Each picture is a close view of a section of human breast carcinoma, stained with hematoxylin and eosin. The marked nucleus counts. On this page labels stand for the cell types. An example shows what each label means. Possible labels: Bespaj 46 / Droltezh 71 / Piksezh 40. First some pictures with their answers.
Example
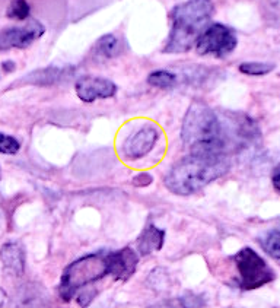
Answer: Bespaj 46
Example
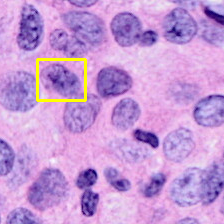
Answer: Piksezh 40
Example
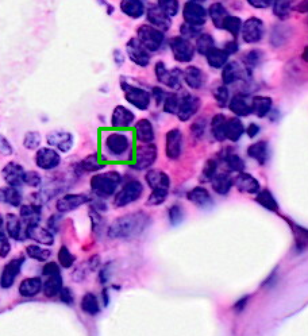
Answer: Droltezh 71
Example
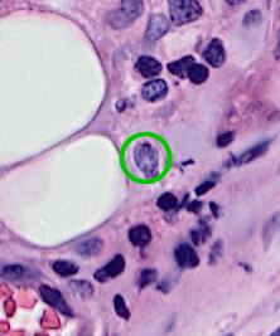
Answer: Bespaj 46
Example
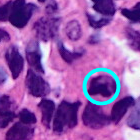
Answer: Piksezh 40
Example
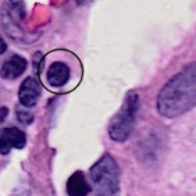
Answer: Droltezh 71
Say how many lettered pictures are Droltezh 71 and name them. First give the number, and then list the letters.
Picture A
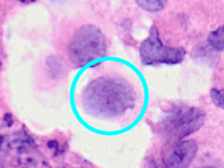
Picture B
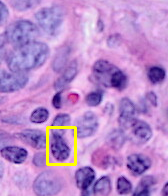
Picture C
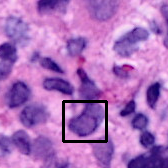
Count: 1 (B)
